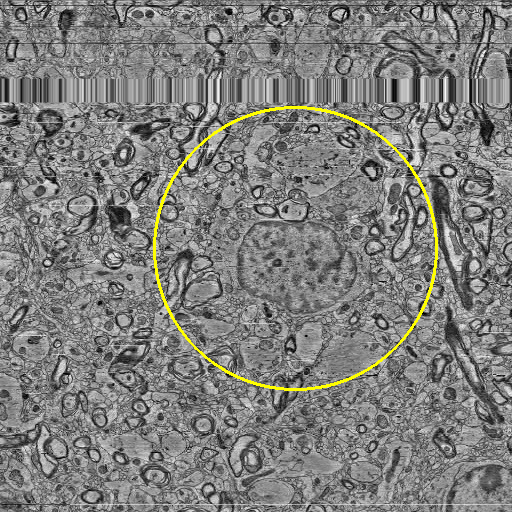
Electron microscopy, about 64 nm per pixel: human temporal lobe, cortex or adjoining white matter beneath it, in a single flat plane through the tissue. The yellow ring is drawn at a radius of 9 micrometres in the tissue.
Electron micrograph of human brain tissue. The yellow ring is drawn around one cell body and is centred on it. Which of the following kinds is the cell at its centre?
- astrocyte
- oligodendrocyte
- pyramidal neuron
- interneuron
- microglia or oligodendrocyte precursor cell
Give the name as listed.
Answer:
oligodendrocyte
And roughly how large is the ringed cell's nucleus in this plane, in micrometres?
In this plane the nucleus spans approximately 8 by 6 micrometers.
